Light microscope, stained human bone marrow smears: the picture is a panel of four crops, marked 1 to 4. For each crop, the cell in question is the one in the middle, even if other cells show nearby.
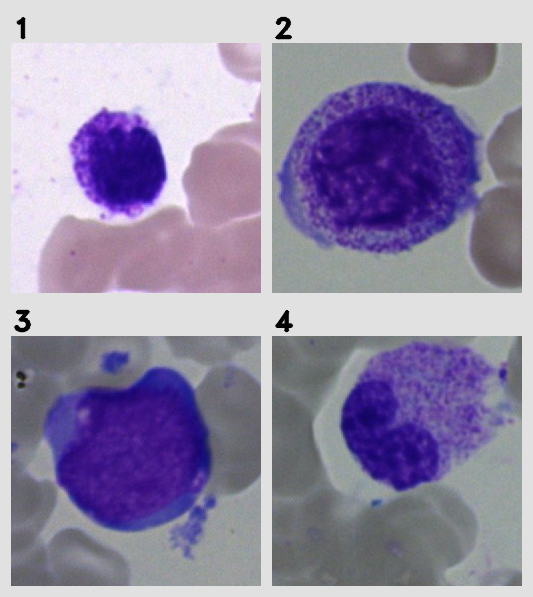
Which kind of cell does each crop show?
1: basophil
2: promyelocyte
3: blast
4: band neutrophil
